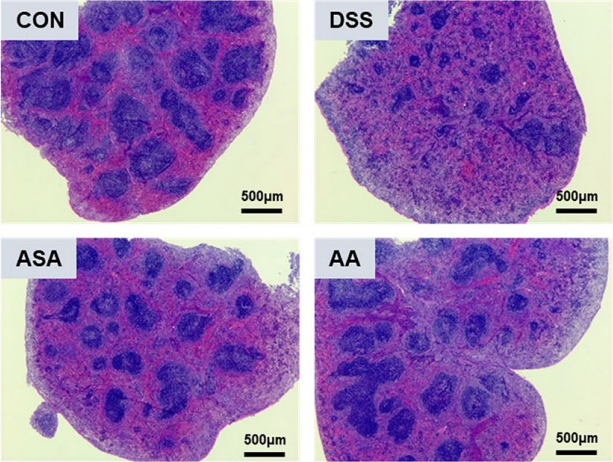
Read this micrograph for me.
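These are low-power sections of spleen tissue. Rounded dark purple clusters of densely packed nuclei are scattered through a pink-red, less cellular parenchyma, and a thin rim bounds each section. In one of the four sections the dark clusters are smaller and less sharply bounded than in the others.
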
